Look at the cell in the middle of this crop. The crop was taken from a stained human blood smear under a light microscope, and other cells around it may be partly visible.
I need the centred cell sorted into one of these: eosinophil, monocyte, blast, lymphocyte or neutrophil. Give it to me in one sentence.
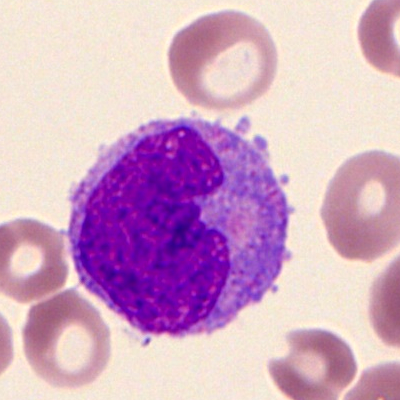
The cell under consideration, at the middle of the crop, is a monocyte.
